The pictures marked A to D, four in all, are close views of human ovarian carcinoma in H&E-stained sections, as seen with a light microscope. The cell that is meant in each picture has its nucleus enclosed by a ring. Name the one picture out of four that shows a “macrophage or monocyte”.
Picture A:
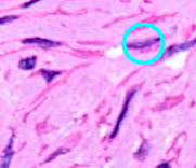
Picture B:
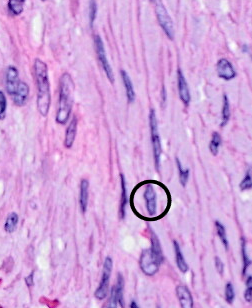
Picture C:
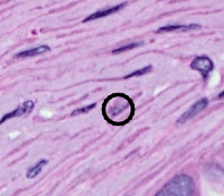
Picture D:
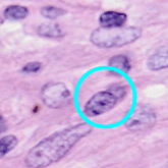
D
